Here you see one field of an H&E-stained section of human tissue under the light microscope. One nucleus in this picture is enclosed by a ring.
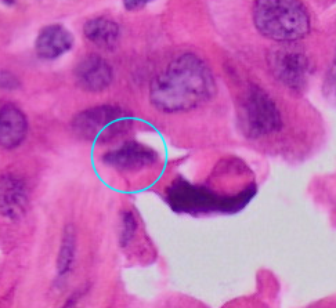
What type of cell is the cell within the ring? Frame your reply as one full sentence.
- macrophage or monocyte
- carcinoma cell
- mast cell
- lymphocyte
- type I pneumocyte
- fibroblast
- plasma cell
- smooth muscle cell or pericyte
Among the cells in this section, the cell within the ring is a carcinoma cell.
